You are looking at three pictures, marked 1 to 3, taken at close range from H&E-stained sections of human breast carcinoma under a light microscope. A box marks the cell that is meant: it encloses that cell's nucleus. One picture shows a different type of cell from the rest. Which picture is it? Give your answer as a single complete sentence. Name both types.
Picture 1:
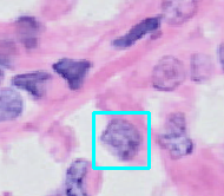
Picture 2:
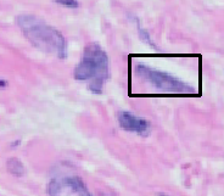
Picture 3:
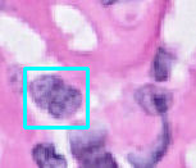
The different one is picture 2; it shows a fibroblast, whereas all the others show carcinoma cells.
